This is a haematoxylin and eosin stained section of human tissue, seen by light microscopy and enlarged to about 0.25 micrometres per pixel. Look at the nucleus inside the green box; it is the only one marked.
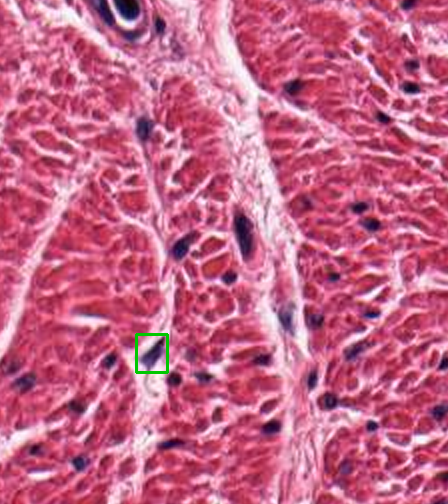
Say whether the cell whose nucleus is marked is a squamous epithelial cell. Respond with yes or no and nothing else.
no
